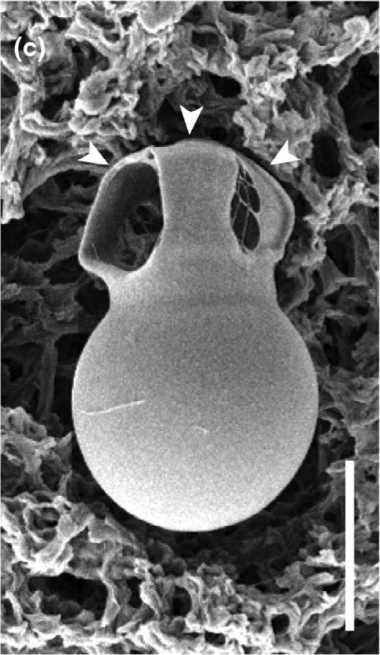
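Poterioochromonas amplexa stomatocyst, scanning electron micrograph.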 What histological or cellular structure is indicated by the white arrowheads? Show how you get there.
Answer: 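The arrowheads point to three arched lobes on top of a cylindrical neck. Open gaps lie between the arched lobes.
Conclusion: curved projections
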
